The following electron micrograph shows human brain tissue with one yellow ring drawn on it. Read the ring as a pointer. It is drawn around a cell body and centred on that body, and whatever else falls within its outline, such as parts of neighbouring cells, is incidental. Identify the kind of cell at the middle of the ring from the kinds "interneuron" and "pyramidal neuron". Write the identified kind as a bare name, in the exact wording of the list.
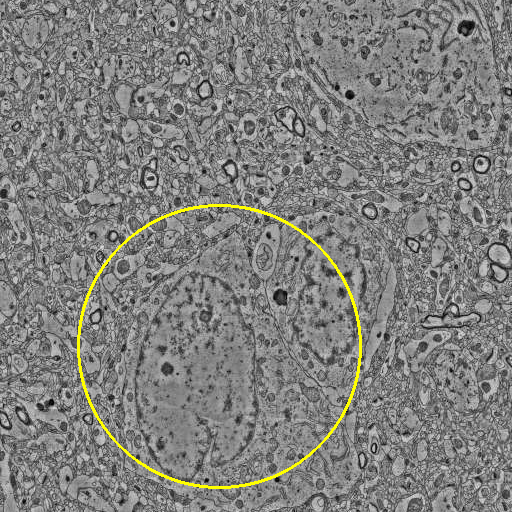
interneuron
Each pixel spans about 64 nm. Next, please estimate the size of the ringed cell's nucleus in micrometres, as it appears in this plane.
The nucleus comes to approximately 13 by 8 micrometres and is clearly longer than it is wide in this plane.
